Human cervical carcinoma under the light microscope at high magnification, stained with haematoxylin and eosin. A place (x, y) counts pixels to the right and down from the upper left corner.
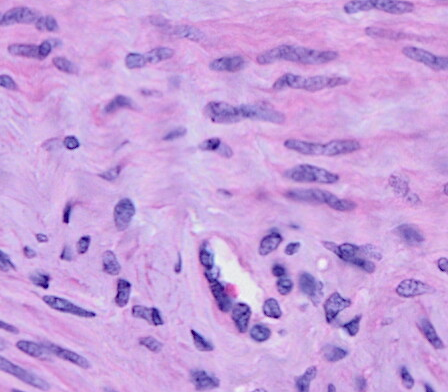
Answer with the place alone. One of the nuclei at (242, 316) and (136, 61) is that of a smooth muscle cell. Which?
(136, 61)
